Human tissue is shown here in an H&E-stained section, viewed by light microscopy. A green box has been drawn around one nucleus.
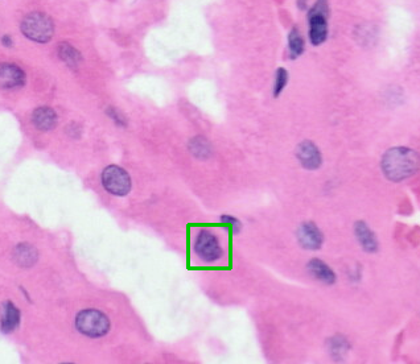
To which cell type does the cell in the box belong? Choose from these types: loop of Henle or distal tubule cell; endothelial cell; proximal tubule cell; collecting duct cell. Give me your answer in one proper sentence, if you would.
In this tissue section, the cell in the box is to be classed as a proximal tubule cell.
